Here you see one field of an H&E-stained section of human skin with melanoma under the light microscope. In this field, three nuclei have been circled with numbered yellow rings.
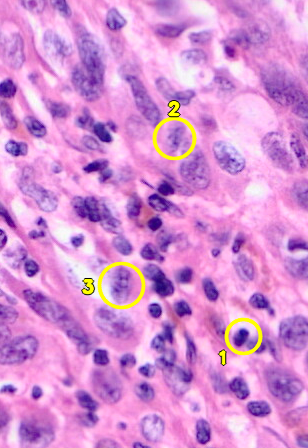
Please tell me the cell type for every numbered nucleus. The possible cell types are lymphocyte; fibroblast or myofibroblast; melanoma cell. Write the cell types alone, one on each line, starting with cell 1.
lymphocyte
melanoma cell
melanoma cell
